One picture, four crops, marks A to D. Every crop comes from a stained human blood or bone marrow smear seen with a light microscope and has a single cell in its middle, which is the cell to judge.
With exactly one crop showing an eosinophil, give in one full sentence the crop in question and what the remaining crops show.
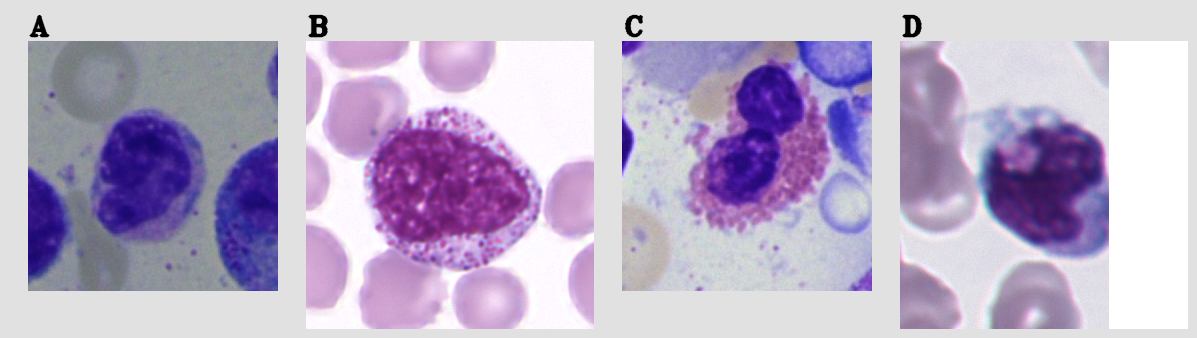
The central cell in crop C is an eosinophil, whereas crop A is a band neutrophil, crop B is a metamyelocyte and crop D is a monocyte.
